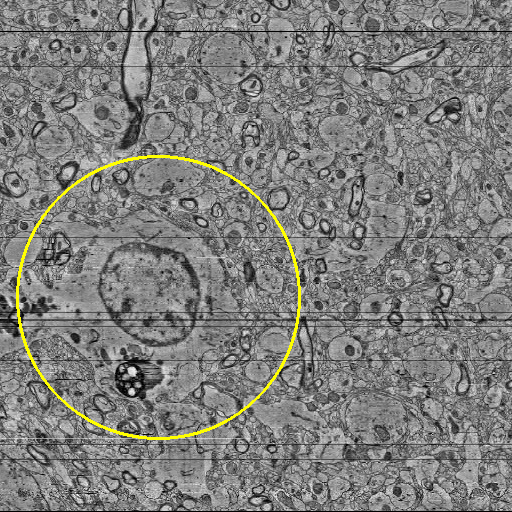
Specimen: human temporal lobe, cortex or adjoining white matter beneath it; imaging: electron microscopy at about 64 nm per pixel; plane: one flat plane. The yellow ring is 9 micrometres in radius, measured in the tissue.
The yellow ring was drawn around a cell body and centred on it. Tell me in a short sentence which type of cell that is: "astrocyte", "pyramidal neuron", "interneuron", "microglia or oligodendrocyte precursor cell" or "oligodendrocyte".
The cell at the ring's centre is an astrocyte.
